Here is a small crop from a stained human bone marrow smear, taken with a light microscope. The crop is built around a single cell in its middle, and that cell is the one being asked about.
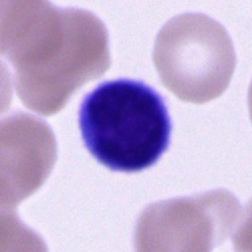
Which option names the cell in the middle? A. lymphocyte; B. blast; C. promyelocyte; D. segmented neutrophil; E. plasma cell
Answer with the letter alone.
A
